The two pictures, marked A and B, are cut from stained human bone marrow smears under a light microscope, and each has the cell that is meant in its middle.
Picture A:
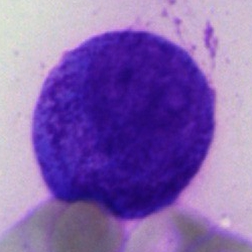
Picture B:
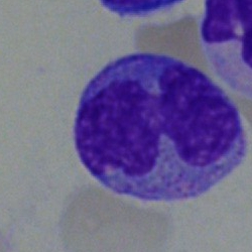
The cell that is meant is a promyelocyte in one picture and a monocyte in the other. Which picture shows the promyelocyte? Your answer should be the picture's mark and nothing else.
A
